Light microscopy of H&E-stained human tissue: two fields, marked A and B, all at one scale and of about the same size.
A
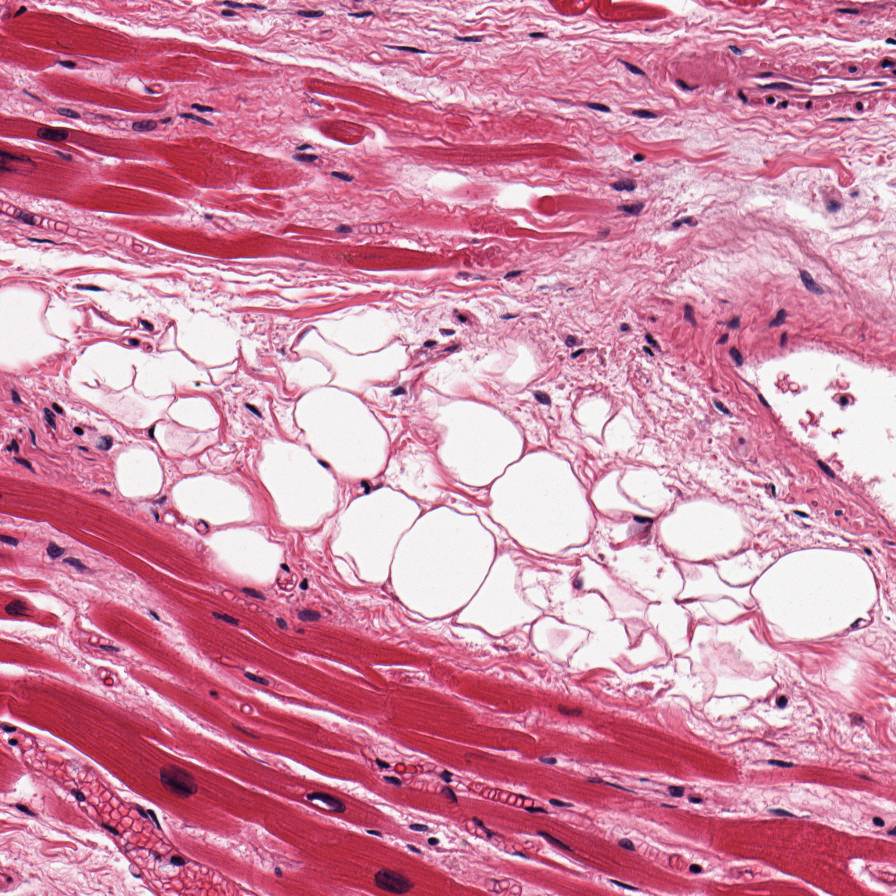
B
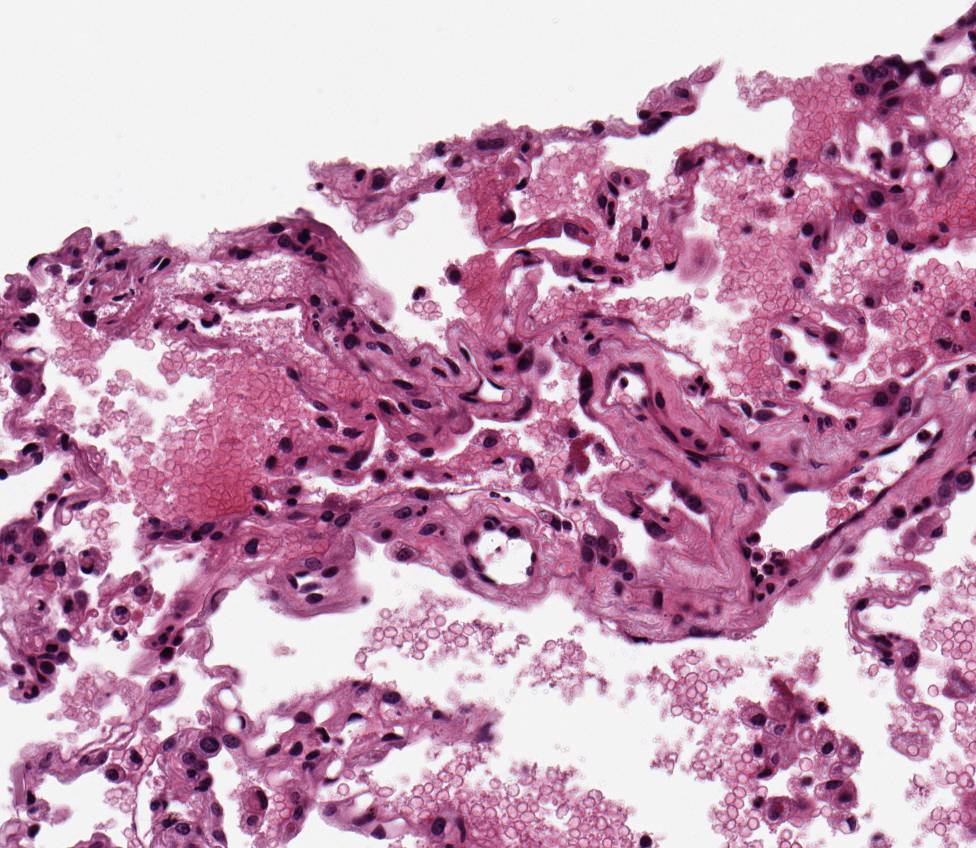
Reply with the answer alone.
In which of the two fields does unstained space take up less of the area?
A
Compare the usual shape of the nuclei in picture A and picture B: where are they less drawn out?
B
